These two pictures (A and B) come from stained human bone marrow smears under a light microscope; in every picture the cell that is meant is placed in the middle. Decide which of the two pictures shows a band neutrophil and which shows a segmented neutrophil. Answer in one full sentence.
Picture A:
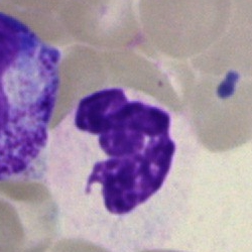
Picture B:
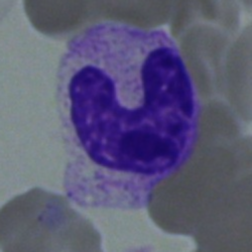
The cell in picture A is a segmented neutrophil, and the one in picture B is a band neutrophil.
